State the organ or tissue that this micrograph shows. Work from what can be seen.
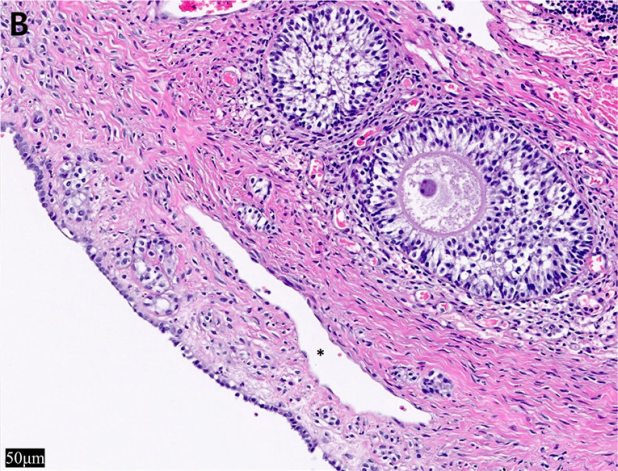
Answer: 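Rounded follicles with many layers of densely packed dark-nucleated cells. A large central cell with a clear pink rim and a nucleus inside one follicle. Cellular spindle-cell stroma between follicles.
Hence: ovary.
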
